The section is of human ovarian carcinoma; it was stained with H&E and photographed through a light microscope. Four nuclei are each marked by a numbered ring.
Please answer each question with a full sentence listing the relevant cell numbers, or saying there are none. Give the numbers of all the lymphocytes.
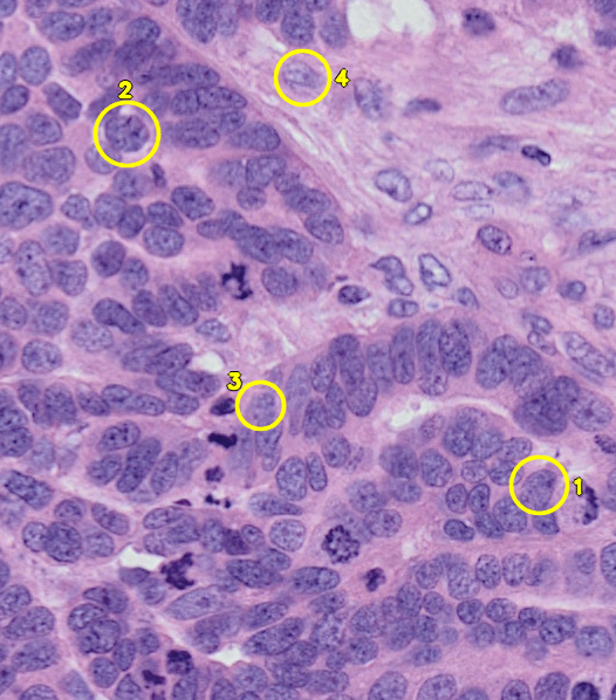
Across the numbered cells, there are no lymphocytes.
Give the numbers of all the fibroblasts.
Cell 4 is the one numbered cell that is a fibroblast.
